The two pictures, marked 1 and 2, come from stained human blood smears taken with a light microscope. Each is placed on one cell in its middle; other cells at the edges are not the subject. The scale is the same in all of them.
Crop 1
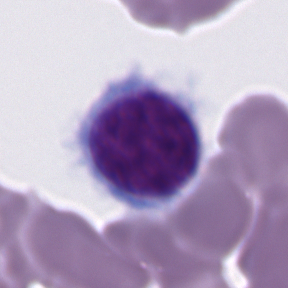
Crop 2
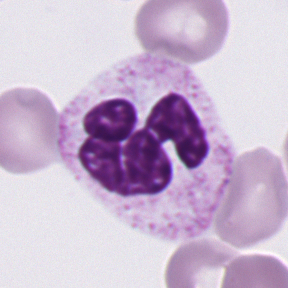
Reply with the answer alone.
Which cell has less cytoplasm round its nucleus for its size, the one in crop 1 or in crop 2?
1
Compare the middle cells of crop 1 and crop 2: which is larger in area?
2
